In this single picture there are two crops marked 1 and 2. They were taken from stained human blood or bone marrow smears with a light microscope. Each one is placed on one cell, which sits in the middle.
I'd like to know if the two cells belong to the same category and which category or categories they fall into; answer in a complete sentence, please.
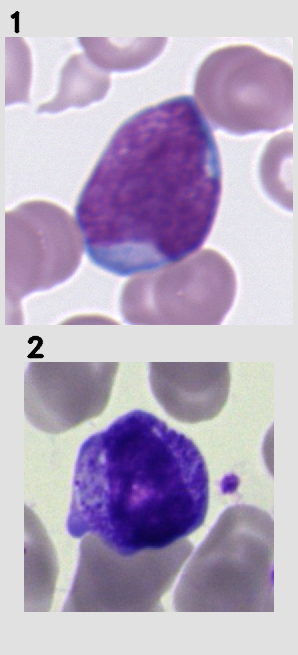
No, in crop 1 the cell is a blast, and in crop 2 it is a myelocyte.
